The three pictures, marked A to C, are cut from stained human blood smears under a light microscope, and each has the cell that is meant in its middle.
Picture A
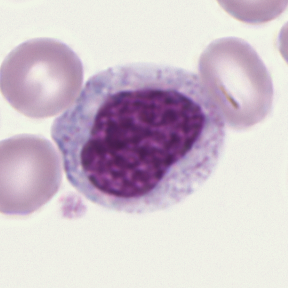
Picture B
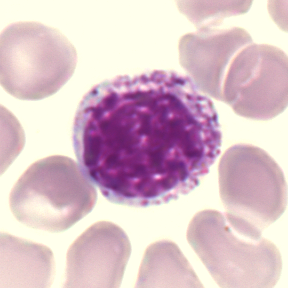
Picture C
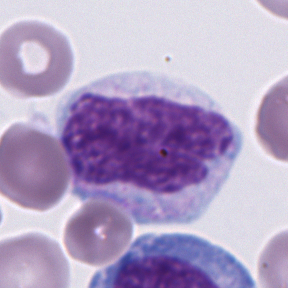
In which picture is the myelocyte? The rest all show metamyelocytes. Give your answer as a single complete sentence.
The myelocyte is the one in picture C.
